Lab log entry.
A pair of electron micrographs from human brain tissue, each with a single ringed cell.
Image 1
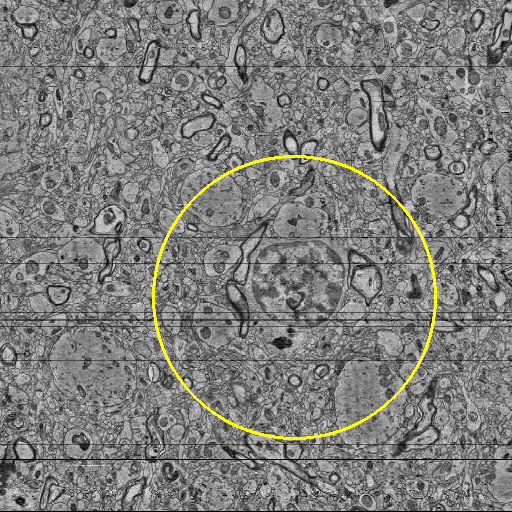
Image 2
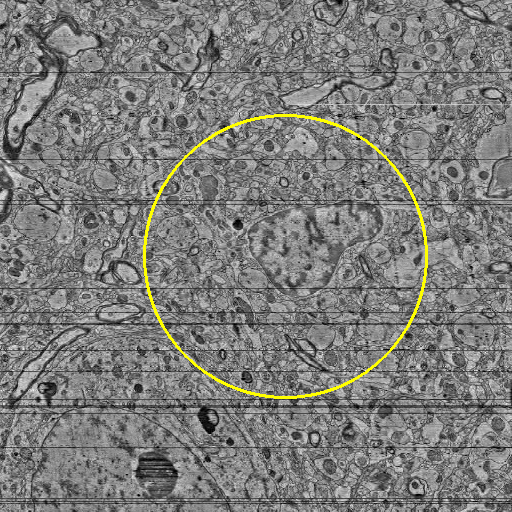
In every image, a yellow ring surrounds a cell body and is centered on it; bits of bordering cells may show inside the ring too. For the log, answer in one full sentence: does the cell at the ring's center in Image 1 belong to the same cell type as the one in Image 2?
No, the cells at the ring centers in Image 1 and Image 2 are of separate types.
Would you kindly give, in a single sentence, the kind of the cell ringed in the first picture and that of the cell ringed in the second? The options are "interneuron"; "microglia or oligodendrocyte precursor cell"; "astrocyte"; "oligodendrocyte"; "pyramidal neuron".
The second cell is a microglial cell or oligodendrocyte precursor cell, and the first cell is an oligodendrocyte.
